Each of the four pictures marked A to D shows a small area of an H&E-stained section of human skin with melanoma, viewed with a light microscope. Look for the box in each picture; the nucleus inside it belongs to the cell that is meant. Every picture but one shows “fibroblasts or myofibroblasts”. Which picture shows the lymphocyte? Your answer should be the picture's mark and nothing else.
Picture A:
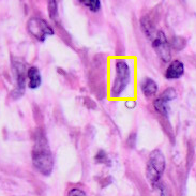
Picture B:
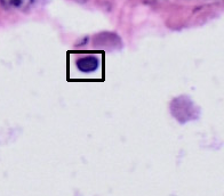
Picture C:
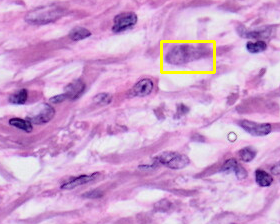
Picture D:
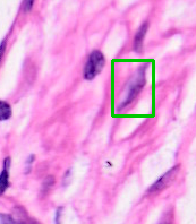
B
